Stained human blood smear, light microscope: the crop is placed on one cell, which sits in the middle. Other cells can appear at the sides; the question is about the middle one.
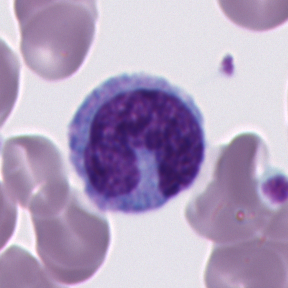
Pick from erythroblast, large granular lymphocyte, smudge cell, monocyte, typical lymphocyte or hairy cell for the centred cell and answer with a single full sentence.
The cell in the exact centre of the crop is a monocyte.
